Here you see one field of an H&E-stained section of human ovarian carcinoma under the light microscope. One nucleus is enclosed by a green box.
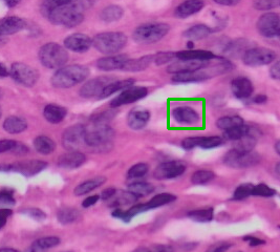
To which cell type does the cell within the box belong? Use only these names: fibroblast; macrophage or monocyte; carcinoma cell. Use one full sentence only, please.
By its classification, the cell within the box is a macrophage or monocyte.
